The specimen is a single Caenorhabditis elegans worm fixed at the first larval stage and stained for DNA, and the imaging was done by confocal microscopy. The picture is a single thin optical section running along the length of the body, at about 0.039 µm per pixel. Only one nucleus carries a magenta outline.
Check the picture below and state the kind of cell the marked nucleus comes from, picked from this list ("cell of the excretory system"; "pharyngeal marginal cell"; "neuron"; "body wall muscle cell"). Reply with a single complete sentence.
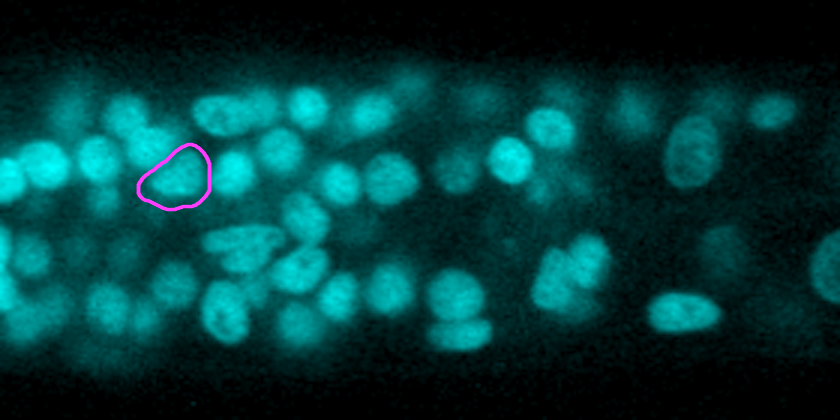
It is the nucleus of a cell of the excretory system.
